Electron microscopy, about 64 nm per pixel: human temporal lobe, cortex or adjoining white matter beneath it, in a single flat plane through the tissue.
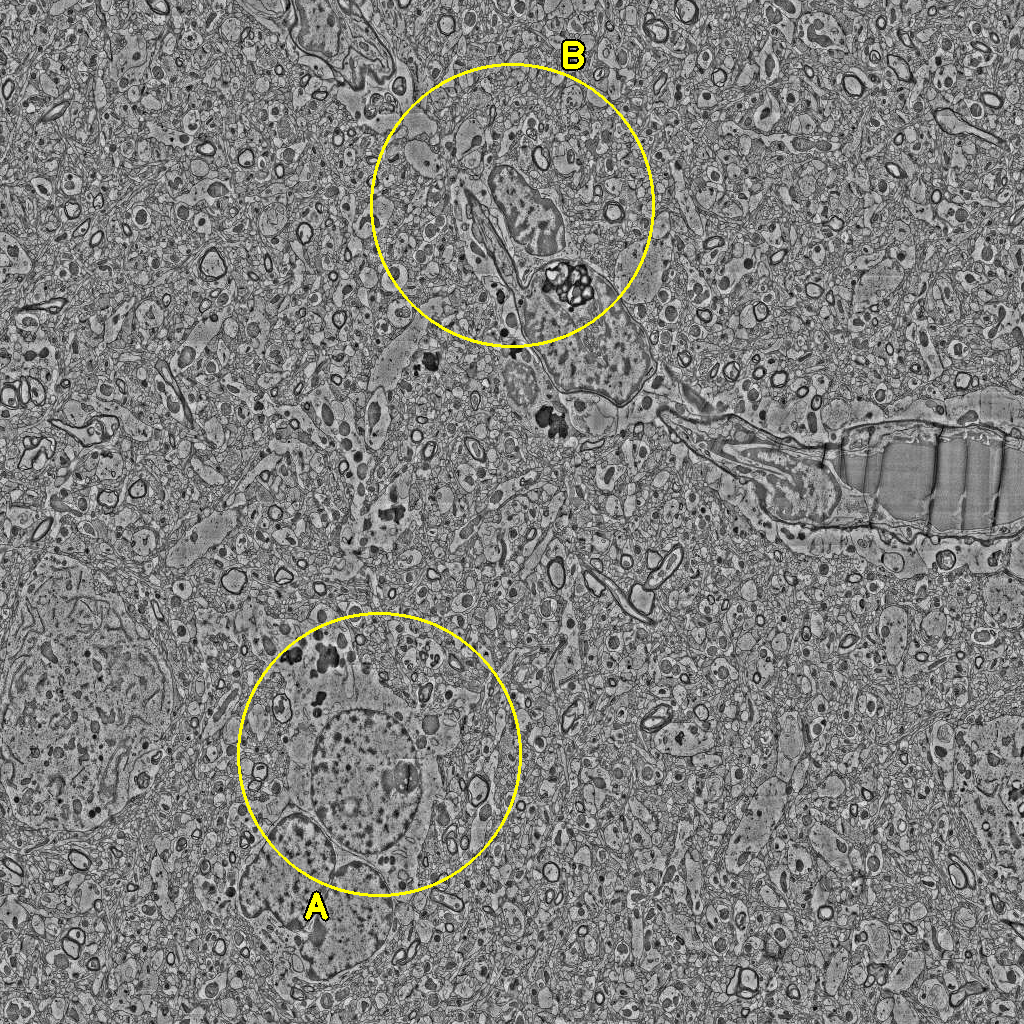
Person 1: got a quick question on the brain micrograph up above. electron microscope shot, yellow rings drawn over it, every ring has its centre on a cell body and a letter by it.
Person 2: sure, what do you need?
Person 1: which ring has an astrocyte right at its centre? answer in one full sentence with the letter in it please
In that picture, ring A is centred on the cell asked for.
